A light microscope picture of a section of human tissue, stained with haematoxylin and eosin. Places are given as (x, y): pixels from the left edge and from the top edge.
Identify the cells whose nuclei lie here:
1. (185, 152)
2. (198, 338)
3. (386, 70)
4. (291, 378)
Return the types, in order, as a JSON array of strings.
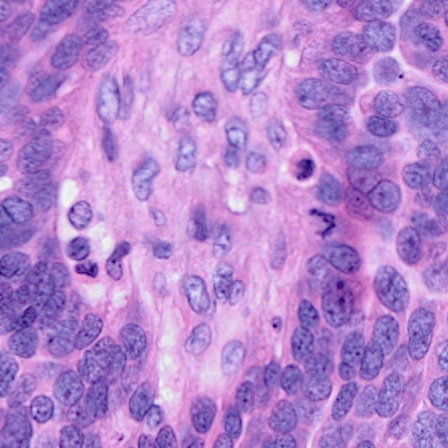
["fibroblast", "fibroblast", "carcinoma cell", "carcinoma cell"]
